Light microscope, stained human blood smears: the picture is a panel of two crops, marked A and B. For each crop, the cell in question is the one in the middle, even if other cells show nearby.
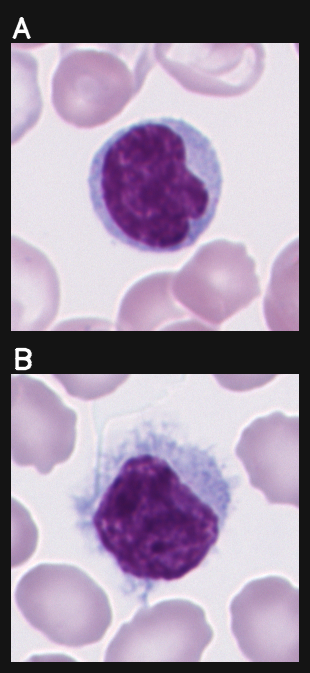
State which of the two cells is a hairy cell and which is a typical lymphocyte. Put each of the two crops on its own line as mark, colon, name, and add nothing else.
A: typical lymphocyte
B: hairy cell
